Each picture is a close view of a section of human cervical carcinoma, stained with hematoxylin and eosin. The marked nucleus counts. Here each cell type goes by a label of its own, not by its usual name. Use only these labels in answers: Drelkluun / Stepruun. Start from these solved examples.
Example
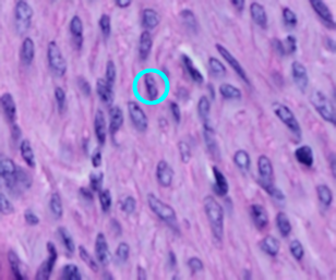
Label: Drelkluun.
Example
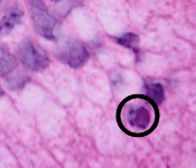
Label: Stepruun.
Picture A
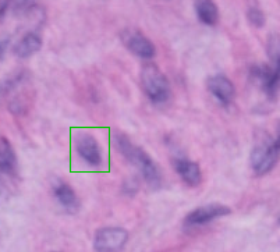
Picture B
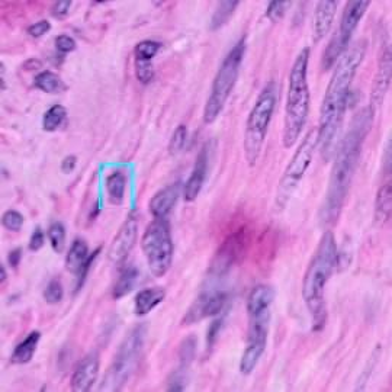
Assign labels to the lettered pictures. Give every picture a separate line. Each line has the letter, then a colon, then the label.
A: Drelkluun.
B: Drelkluun.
